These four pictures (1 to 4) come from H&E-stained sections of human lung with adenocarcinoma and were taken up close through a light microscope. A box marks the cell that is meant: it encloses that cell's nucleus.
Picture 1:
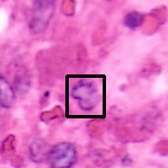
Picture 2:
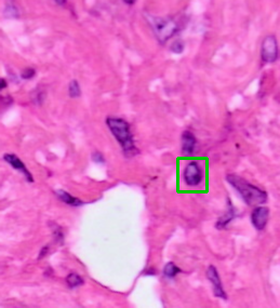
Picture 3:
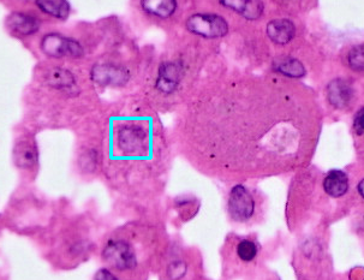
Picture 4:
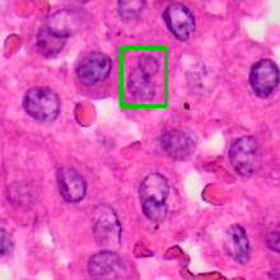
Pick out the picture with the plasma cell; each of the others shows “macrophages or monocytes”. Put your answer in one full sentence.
The plasma cell is the one in picture 2.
